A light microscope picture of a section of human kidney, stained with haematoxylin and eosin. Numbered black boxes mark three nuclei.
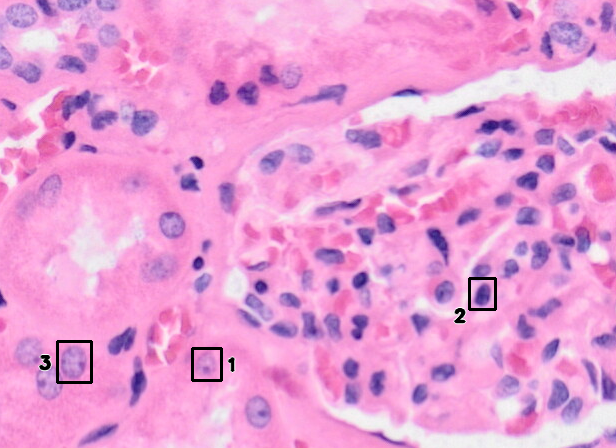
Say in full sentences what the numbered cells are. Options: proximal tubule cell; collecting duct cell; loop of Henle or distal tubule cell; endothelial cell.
Cells 1 and 3 are proximal tubule cells. Cell 2 is an endothelial cell.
